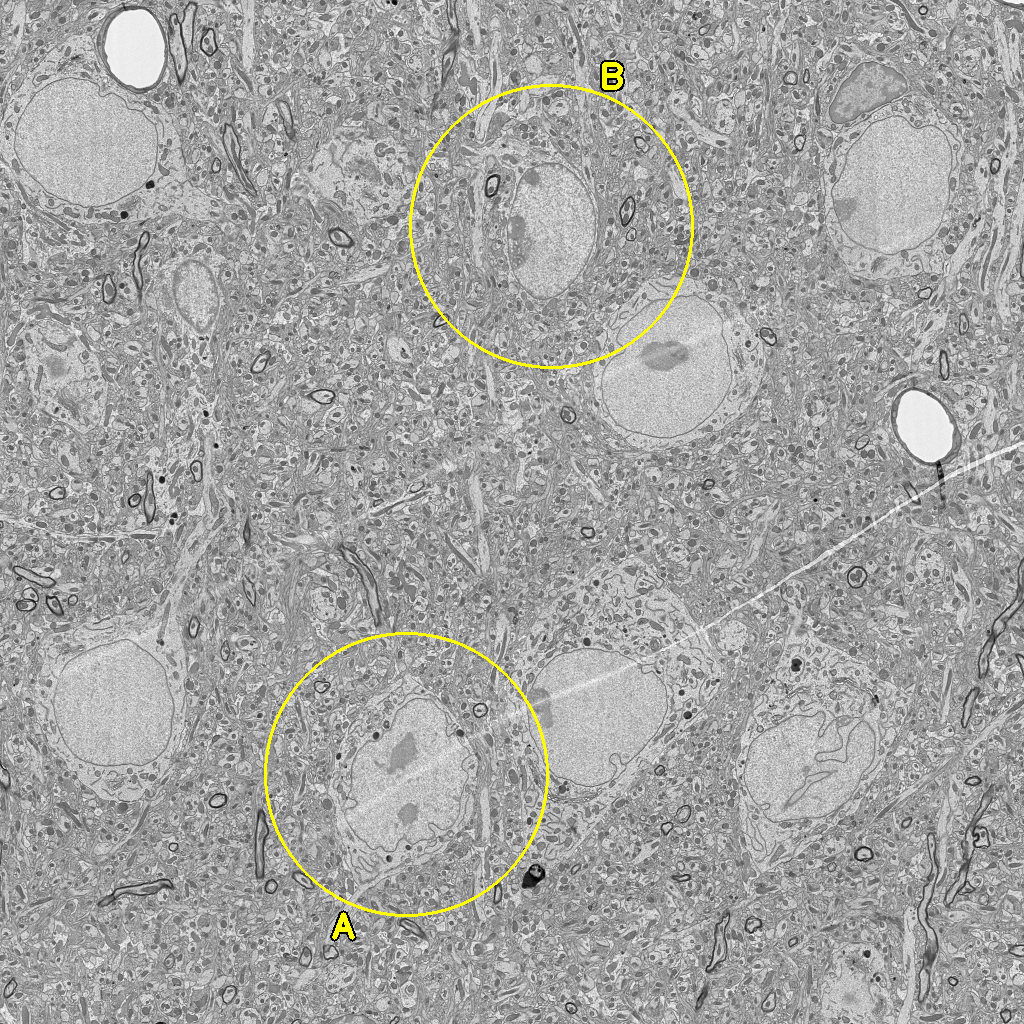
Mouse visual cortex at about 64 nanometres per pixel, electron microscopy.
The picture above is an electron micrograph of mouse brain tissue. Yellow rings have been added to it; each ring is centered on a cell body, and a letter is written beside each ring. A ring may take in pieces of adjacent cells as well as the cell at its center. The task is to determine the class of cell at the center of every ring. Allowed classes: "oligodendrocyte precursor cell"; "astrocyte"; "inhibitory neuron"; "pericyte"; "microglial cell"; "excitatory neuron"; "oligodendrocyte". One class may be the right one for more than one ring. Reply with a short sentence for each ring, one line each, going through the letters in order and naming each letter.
Ring A is centered on an inhibitory neuron.
Ring B is centered on an astrocyte.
